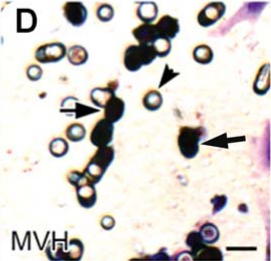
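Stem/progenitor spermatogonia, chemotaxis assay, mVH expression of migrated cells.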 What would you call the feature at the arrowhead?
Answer: Pores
